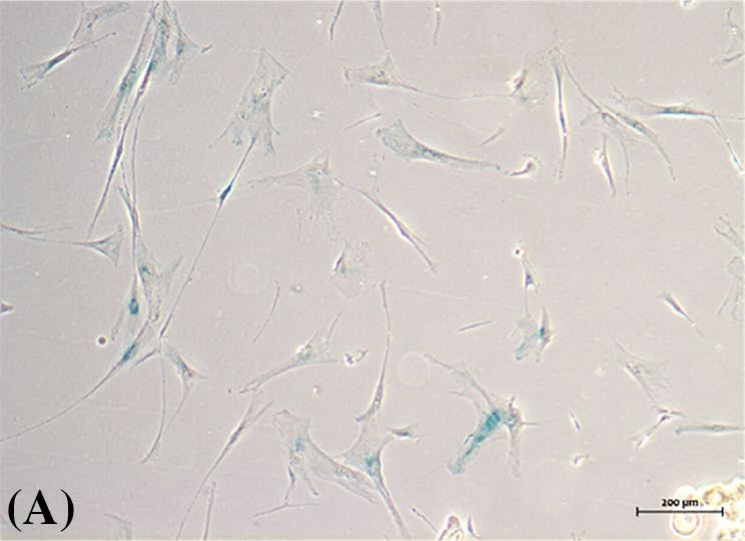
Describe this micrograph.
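Most are spindle-shaped or stellate, with slender bodies and long, thin processes, and a few are broader and flattened. Many cells contain pale to moderate blue colour in their cytoplasm, strongest in the central cell body, while a few show a more intense blue. The background between cells is clear and unstained, and the cells do not form a confluent layer.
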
